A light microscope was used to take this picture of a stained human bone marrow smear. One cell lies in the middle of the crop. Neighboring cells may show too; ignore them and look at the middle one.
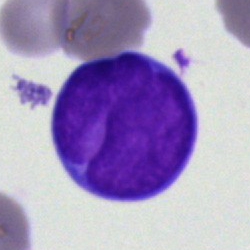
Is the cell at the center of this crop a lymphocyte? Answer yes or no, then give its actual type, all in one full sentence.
No, the cell occupying the centre is a blast, not a lymphocyte.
